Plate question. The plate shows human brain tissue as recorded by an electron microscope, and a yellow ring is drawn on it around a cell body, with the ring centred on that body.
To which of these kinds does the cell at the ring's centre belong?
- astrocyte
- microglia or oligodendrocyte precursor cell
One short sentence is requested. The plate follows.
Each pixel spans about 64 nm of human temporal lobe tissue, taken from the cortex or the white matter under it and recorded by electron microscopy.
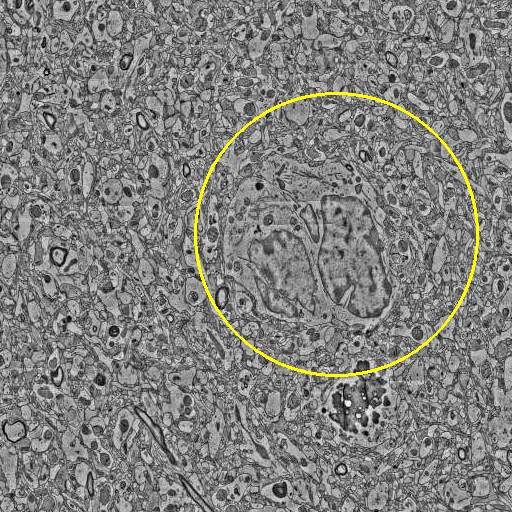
The cell at the ring's centre is a microglial cell or oligodendrocyte precursor cell.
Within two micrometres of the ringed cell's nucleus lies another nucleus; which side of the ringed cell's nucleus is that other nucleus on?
The other nucleus sits to the left of it.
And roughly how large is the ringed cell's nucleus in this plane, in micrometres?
The nucleus appears roughly 8 by 5 micrometres in this plane.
